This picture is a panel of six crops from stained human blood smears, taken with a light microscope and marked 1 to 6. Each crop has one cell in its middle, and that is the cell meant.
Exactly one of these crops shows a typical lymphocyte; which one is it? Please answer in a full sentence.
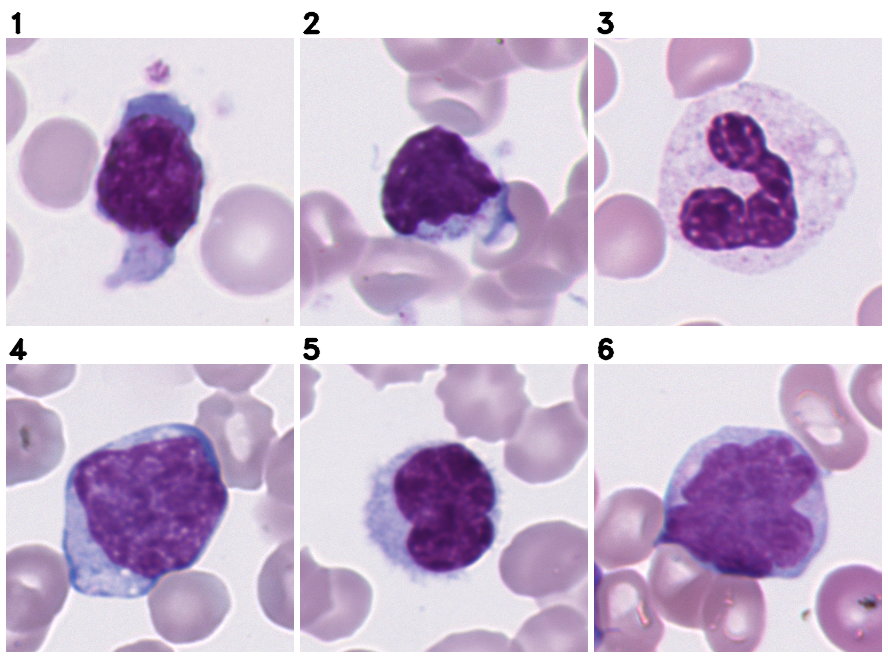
In the set of crops, crop 2 is the one that contains a typical lymphocyte.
